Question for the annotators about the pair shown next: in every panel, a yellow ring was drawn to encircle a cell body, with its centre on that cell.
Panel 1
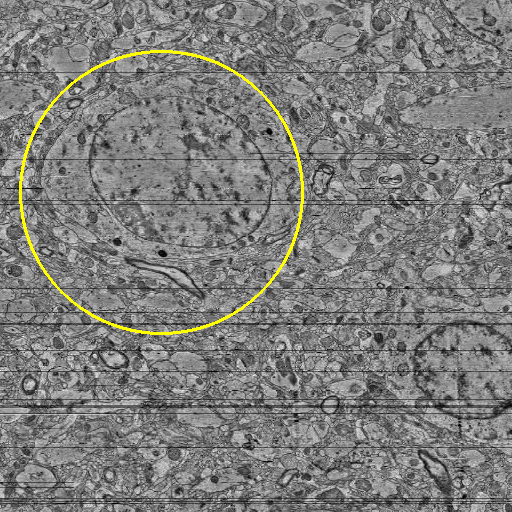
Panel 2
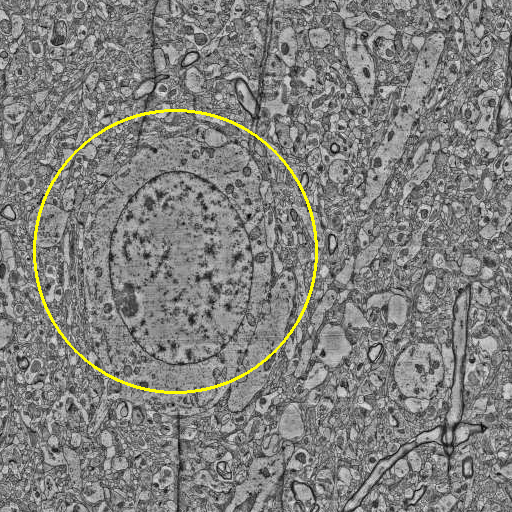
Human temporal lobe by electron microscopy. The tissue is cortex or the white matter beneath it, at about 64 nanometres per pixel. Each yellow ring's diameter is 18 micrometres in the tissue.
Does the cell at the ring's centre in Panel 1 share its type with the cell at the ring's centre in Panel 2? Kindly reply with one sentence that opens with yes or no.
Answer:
Yes, in Panels 1 and 2 the cells at the ring centres belong to a single type.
